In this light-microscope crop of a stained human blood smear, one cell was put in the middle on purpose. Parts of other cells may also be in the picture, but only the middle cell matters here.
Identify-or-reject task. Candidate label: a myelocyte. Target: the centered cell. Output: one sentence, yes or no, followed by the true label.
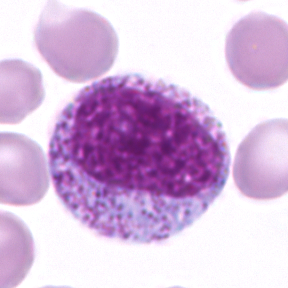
Yes, the cell in the central position is a myelocyte.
